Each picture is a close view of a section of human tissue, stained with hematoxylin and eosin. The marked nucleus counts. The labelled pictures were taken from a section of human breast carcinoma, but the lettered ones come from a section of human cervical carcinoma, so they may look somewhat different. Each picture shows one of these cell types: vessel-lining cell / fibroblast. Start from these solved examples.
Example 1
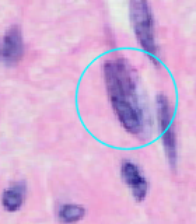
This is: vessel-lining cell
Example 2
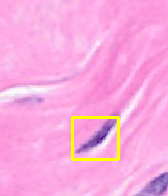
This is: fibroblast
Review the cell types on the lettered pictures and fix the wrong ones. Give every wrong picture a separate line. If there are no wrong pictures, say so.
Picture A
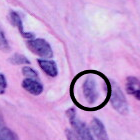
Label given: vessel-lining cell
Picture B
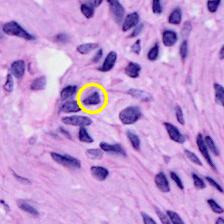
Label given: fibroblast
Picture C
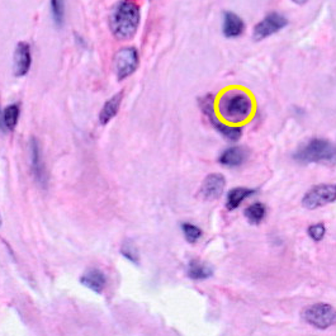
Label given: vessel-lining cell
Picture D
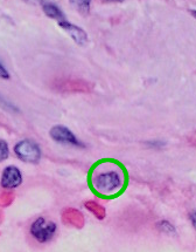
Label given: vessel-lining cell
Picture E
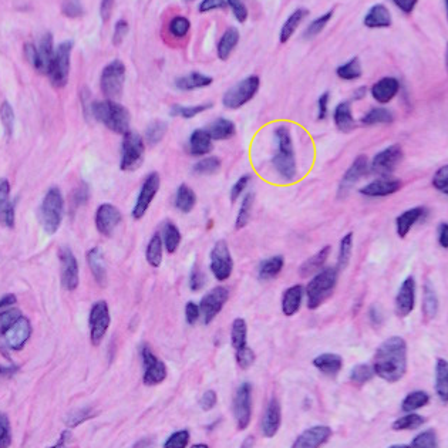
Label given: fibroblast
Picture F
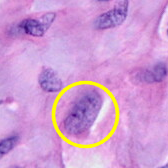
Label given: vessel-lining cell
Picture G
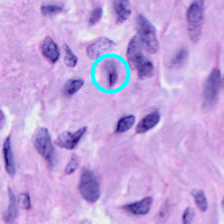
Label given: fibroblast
A: not vessel-lining cell but fibroblast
